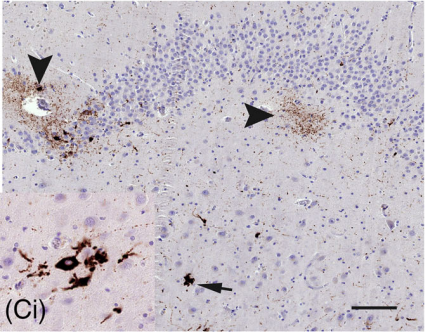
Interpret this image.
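This is hippocampus, with a dense band of closely packed small round blue nuclei of granule cells running across the top. Within and at the edge of this band lie patches of fine brown granular deposits, one of them gathered around a small vessel on the left. Below the band, in the paler tissue, a few scattered cell bodies are stained dark brown. The inset at lower left shows such a cell at higher magnification, a dark brown body with thick, irregular processes.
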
